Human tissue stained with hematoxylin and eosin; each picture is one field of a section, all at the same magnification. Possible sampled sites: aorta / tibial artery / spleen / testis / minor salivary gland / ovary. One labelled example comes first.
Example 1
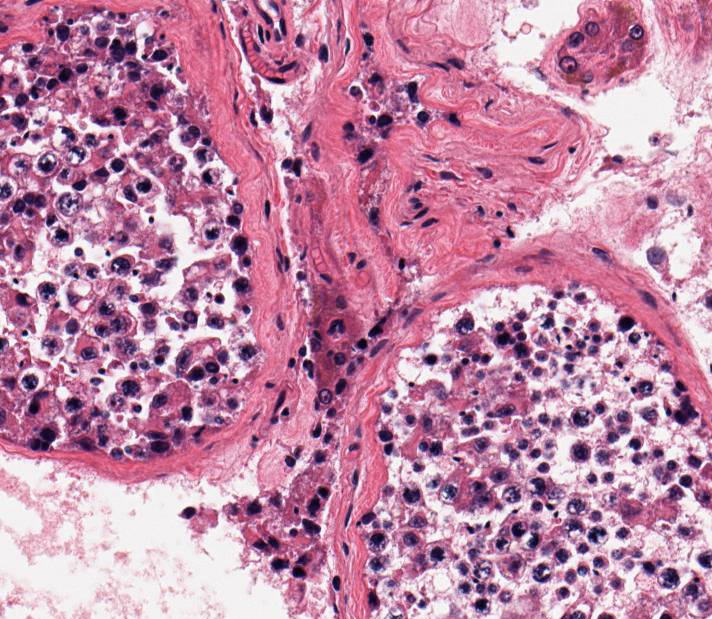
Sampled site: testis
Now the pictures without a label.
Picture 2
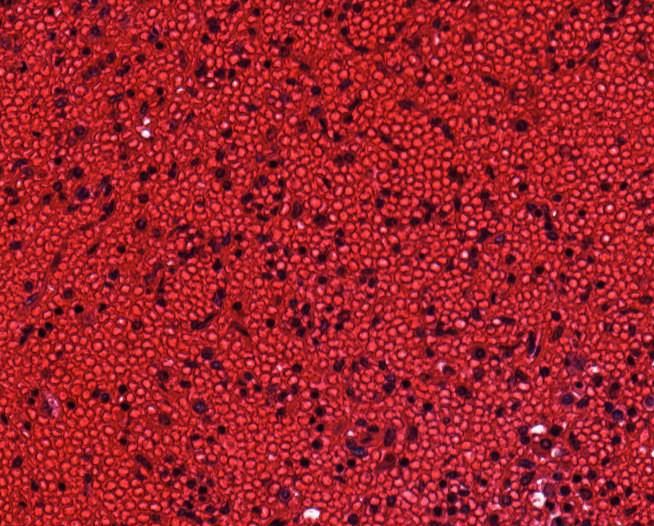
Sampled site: spleen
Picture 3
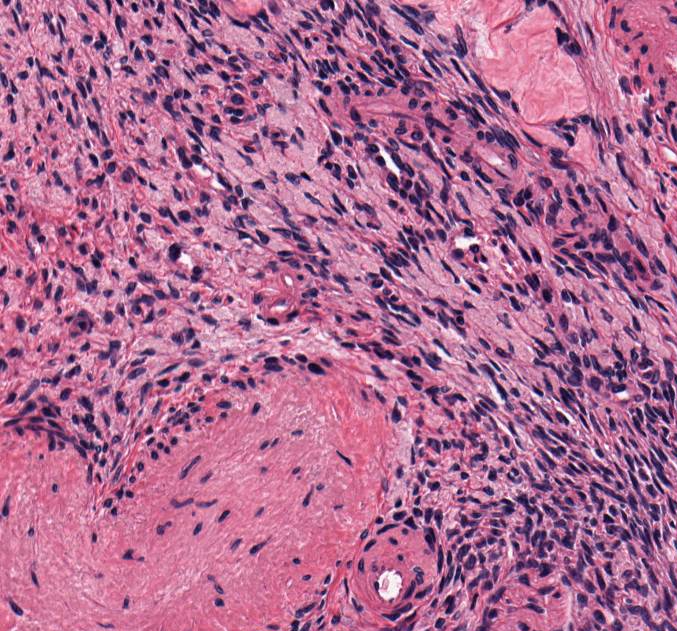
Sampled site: ovary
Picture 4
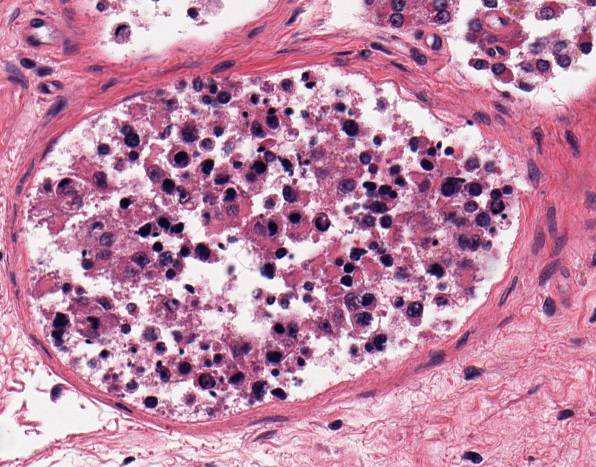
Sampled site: testis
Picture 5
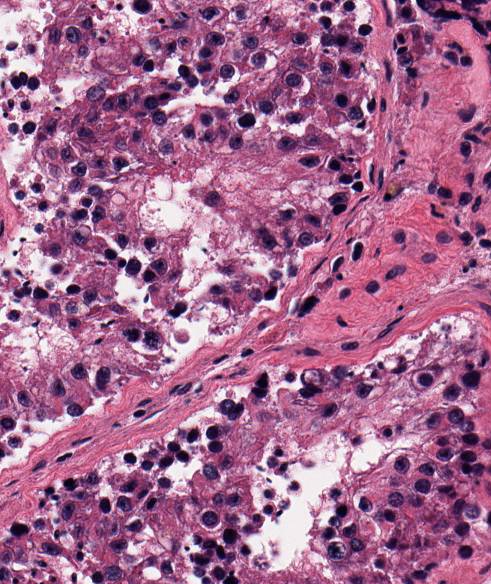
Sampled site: testis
